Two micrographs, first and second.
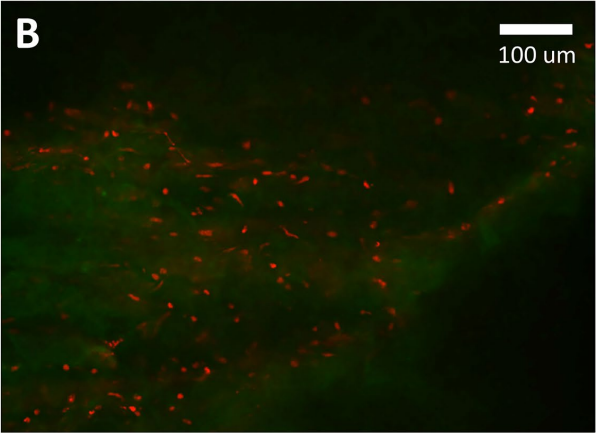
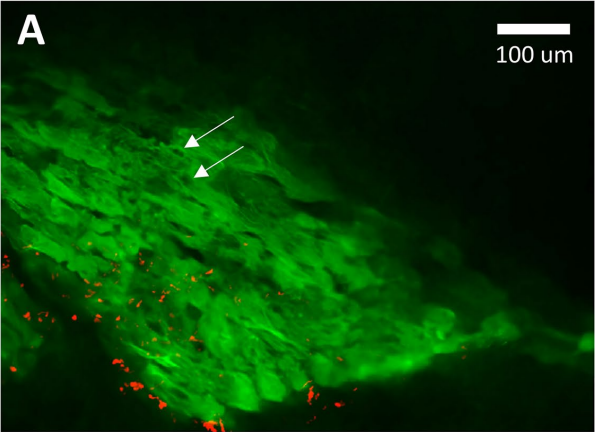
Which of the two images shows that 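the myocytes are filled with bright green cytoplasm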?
the second image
